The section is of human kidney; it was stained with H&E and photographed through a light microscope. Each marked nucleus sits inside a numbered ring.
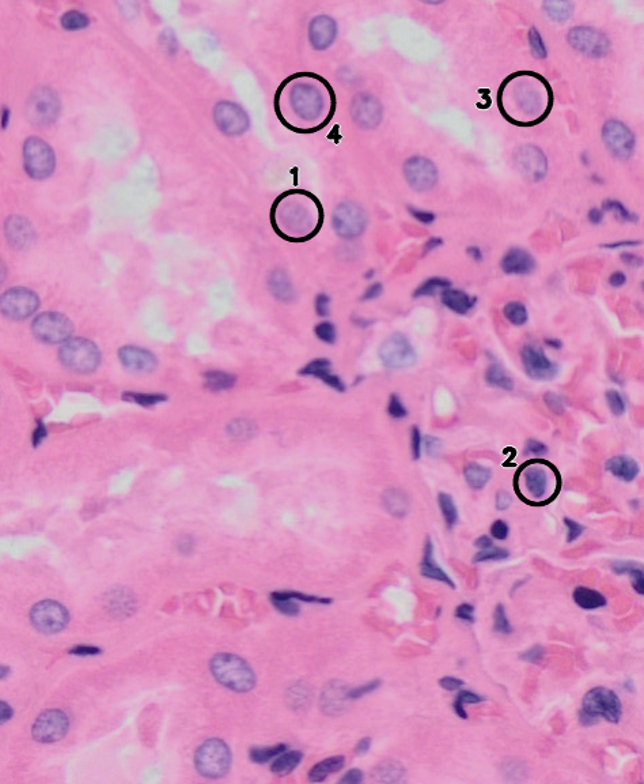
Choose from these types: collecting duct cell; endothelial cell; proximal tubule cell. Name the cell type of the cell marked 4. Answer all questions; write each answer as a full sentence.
The expected answer is that cell 4 is a proximal tubule cell.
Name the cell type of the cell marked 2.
The cell that bears the number 2 is an endothelial cell.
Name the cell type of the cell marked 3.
Cell 3, as marked in the section, is a proximal tubule cell.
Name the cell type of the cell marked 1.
Identified by the number 1, the cell is a proximal tubule cell.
